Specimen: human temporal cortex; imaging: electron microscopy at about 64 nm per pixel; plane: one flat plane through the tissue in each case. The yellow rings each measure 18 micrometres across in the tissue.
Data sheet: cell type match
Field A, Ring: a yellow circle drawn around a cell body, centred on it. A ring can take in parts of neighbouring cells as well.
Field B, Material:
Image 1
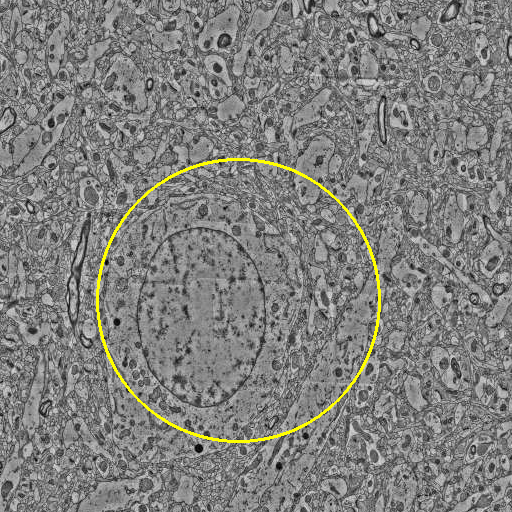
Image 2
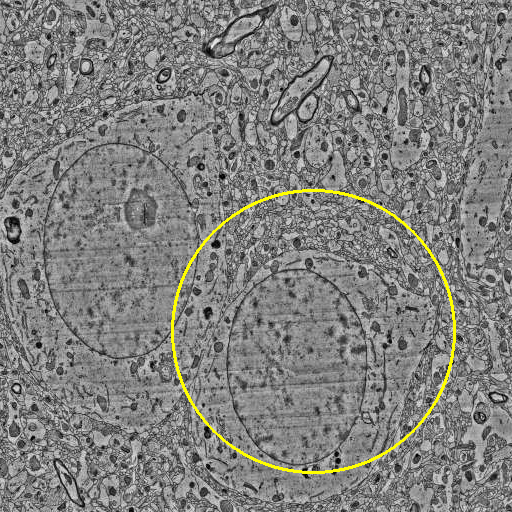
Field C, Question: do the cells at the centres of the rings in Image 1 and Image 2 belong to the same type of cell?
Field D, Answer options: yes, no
yes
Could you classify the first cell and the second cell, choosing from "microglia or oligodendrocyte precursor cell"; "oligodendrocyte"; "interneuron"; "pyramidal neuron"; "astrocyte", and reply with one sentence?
In both pictures the ring is centred on a pyramidal neuron.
